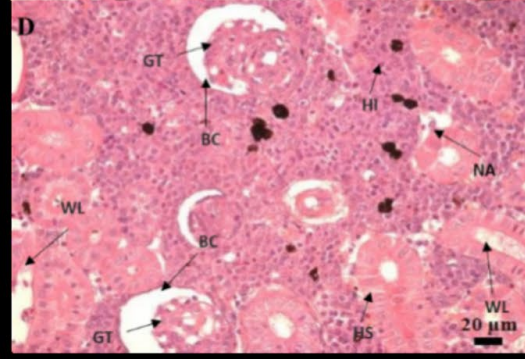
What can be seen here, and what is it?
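This is a section of fish kidney in which renal tubules lie scattered within a dense interstitial tissue packed with small cells bearing purple nuclei. The tubules are round to oval, lined by pink-staining epithelial cells around a central lumen. Some lumina are widened. Several glomeruli show a small tuft of cells set within a widened clear space bounded by Bowman's capsule, and small dark brown-black pigment clusters are scattered through the interstitium.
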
